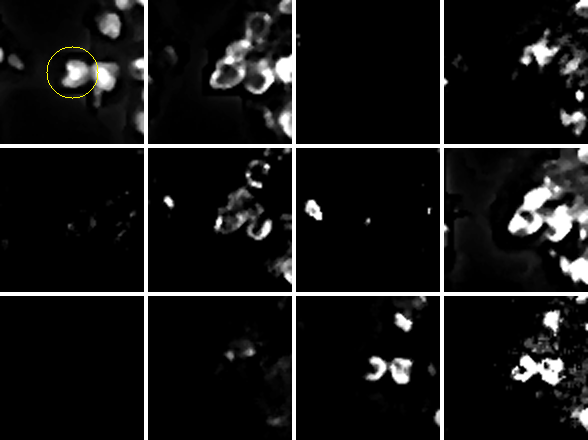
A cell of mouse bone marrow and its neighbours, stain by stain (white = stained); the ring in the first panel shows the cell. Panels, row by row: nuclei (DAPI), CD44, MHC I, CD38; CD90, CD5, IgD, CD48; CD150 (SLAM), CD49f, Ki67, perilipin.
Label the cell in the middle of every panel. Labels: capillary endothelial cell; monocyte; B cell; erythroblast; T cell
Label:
monocyte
